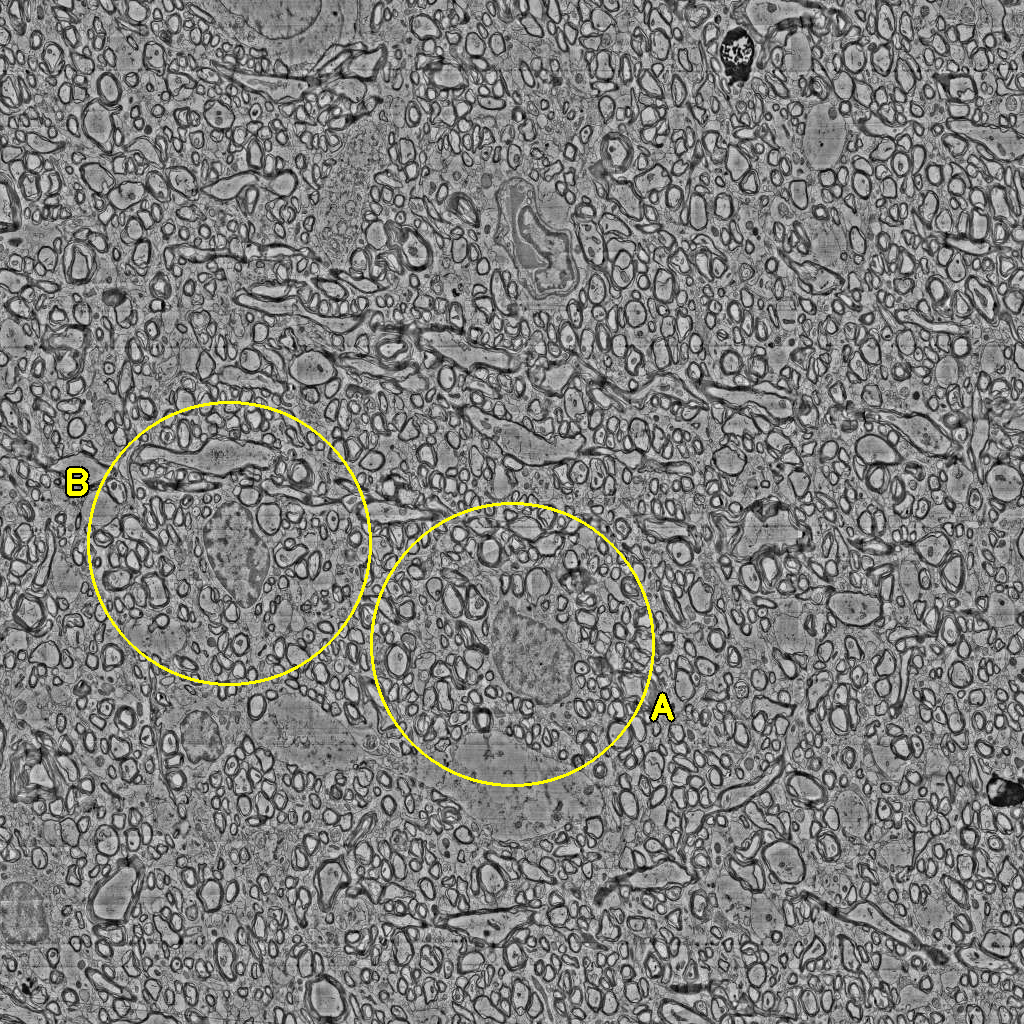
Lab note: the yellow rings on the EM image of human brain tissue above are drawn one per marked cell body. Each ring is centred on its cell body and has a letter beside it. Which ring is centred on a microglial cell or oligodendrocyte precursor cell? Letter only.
B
